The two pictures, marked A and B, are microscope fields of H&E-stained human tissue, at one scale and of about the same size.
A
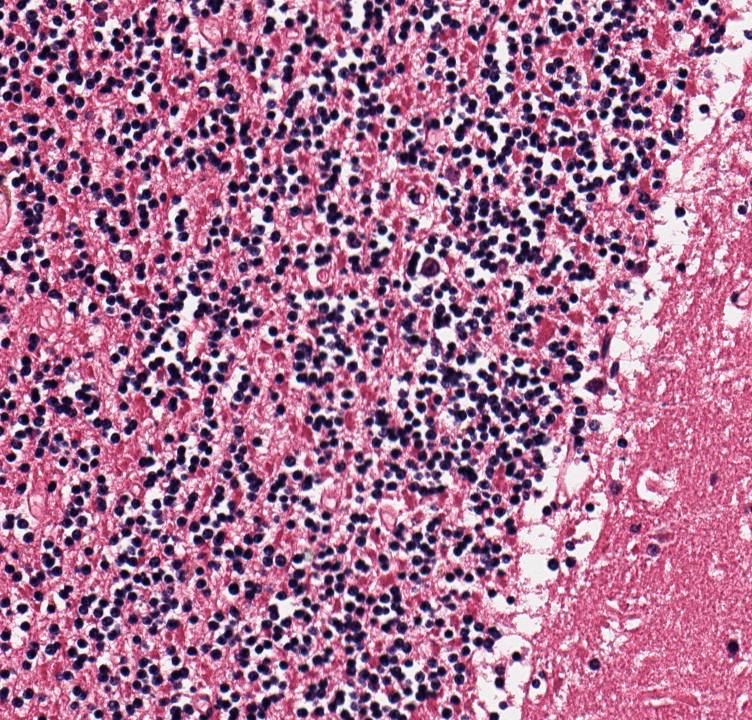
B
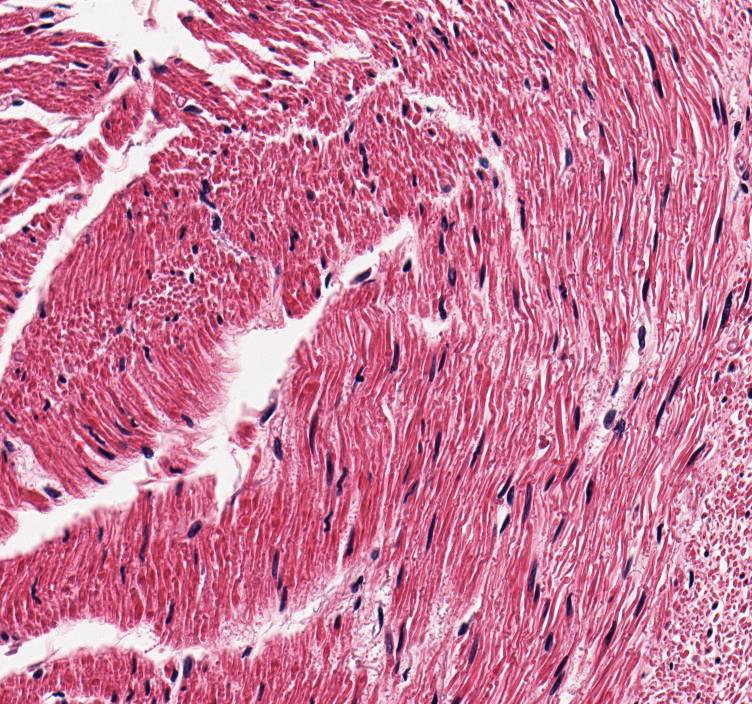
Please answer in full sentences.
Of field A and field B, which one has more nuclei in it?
The larger number of nuclei is in field A.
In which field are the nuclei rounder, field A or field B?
It is field A whose nuclei are the rounder.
